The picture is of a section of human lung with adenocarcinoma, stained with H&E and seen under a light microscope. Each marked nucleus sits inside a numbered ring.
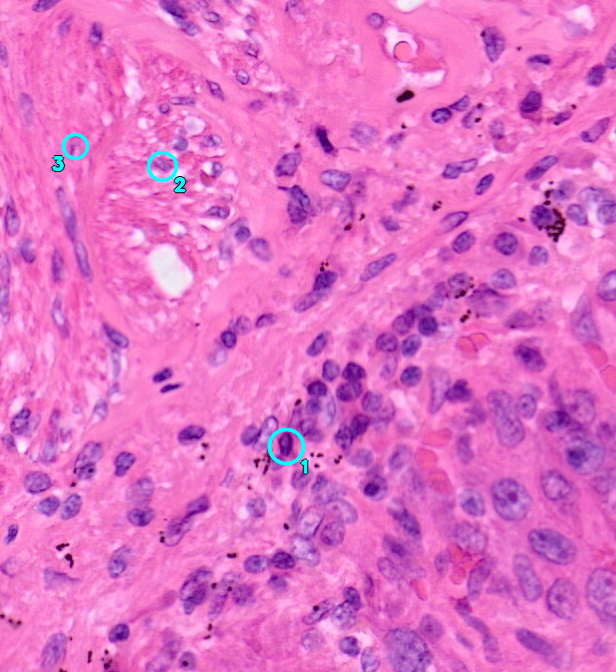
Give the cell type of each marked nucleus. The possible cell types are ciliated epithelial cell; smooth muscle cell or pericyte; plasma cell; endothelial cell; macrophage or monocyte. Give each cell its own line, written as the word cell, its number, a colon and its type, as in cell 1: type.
cell 1: plasma cell
cell 2: smooth muscle cell or pericyte
cell 3: smooth muscle cell or pericyte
